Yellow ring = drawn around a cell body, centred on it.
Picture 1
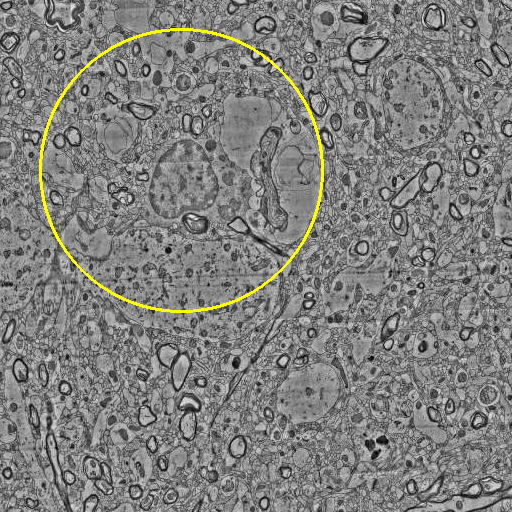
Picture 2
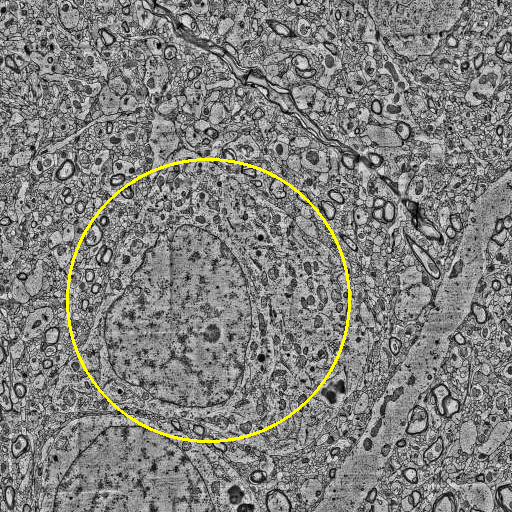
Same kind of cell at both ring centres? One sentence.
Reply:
No, they are two kinds of cell.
